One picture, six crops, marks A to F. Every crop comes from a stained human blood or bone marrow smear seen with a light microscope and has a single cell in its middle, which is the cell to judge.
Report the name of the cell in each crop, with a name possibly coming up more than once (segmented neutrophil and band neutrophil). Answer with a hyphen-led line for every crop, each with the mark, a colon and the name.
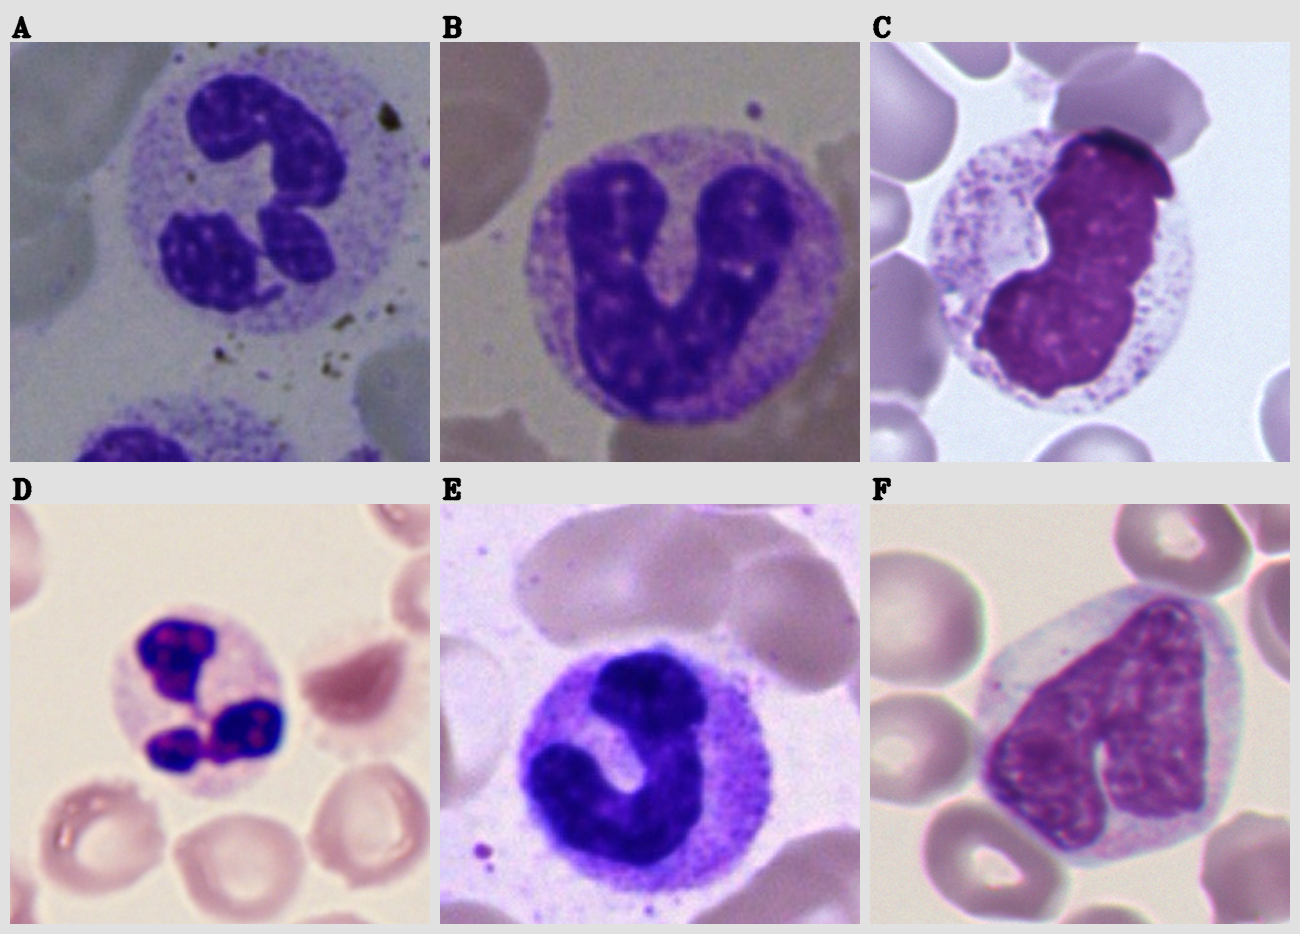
- A: segmented neutrophil
- B: band neutrophil
- C: band neutrophil
- D: segmented neutrophil
- E: band neutrophil
- F: band neutrophil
